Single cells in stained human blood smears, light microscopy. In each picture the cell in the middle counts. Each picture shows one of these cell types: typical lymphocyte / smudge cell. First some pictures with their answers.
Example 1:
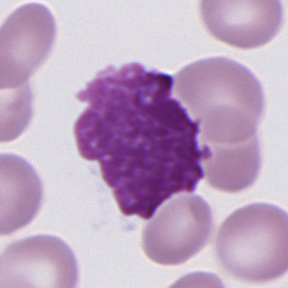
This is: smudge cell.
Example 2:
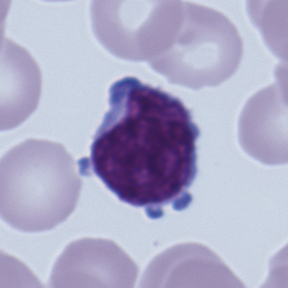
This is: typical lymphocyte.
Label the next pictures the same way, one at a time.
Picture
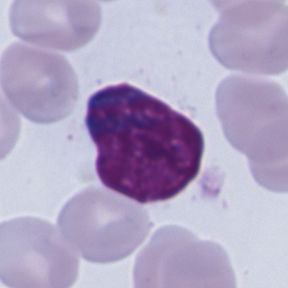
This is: smudge cell.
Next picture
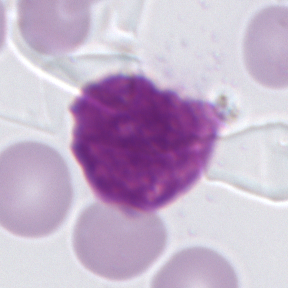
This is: smudge cell.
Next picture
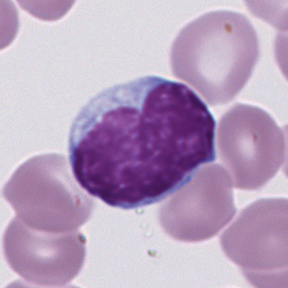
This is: typical lymphocyte.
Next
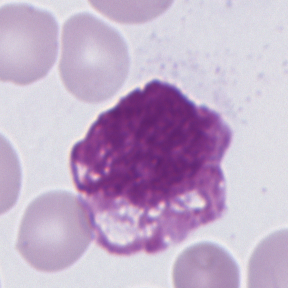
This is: smudge cell.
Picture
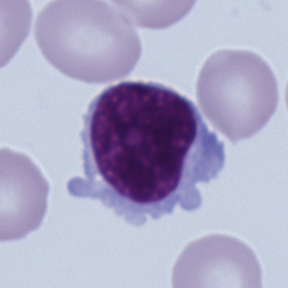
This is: typical lymphocyte.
